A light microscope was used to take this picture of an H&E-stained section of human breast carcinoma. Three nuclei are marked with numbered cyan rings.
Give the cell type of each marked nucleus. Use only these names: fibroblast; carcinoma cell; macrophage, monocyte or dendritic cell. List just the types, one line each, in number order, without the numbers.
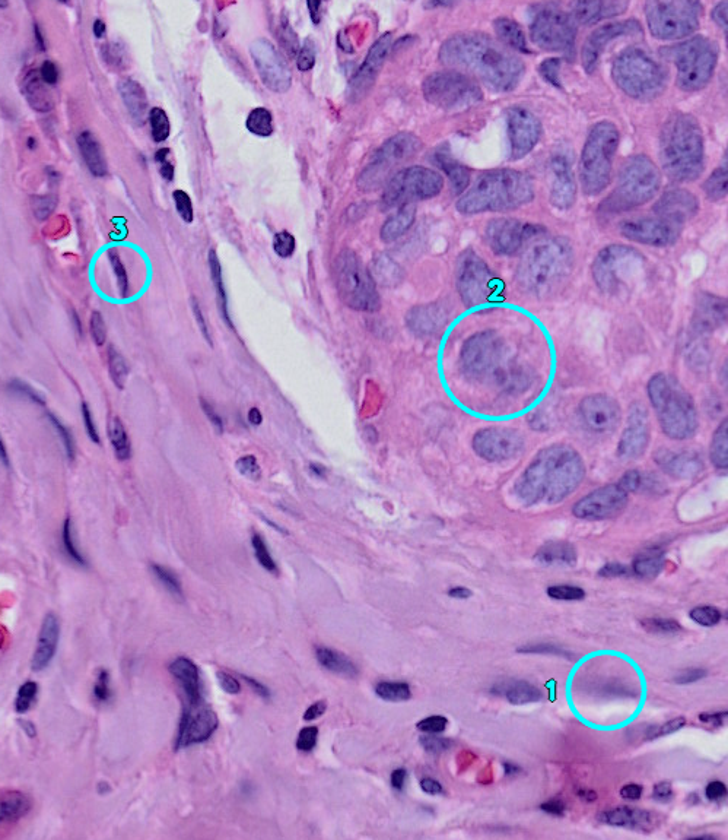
fibroblast
carcinoma cell
fibroblast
